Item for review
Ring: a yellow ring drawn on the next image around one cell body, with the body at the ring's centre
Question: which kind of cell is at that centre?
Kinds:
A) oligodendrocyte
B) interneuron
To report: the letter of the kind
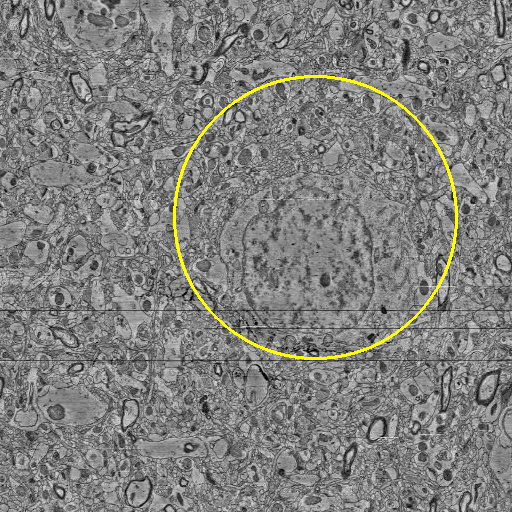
B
